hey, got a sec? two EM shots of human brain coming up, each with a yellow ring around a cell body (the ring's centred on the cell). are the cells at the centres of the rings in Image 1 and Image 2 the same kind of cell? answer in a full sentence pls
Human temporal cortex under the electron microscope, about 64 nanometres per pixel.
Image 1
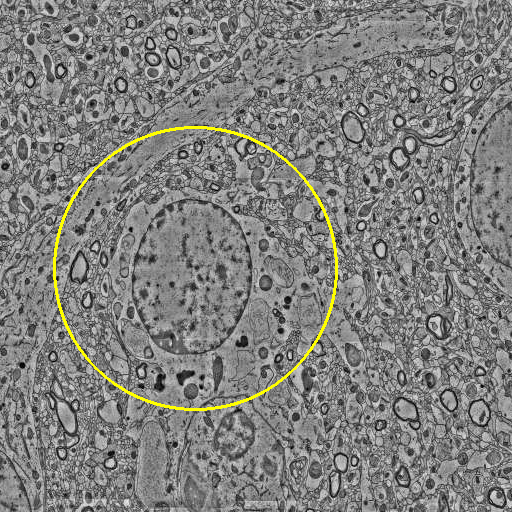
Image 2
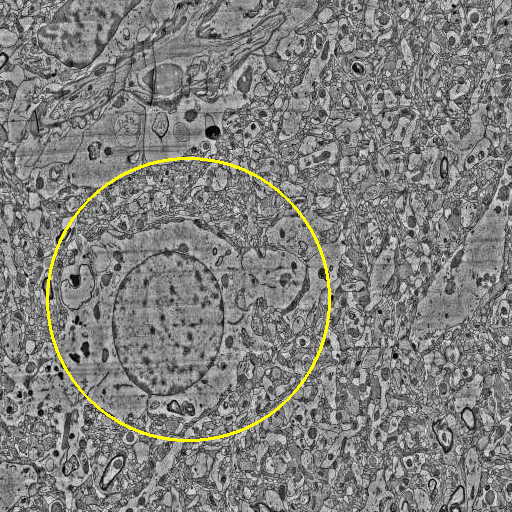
Yes, both are the same kind of cell.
